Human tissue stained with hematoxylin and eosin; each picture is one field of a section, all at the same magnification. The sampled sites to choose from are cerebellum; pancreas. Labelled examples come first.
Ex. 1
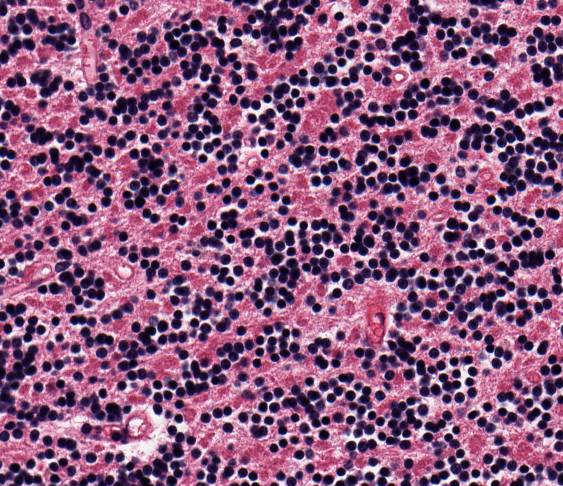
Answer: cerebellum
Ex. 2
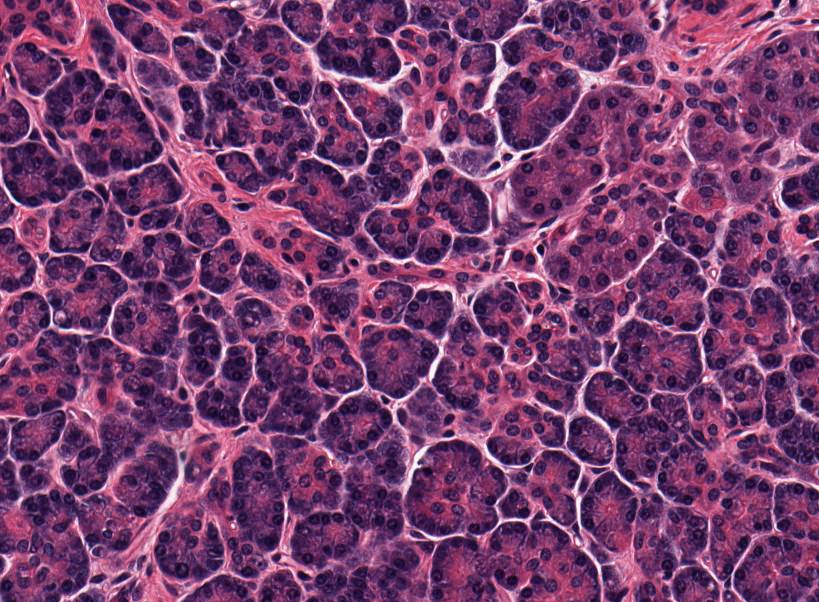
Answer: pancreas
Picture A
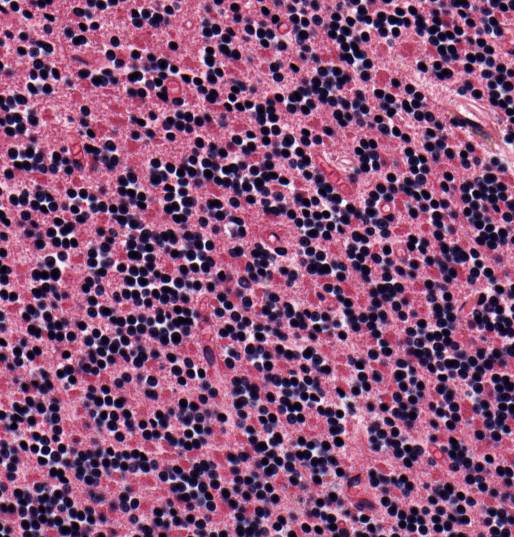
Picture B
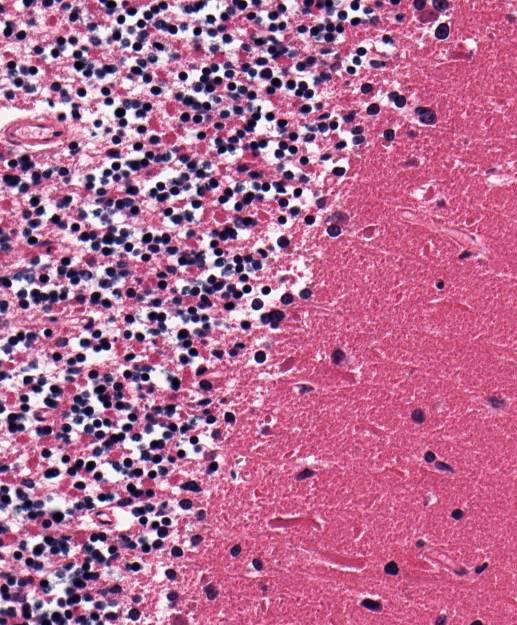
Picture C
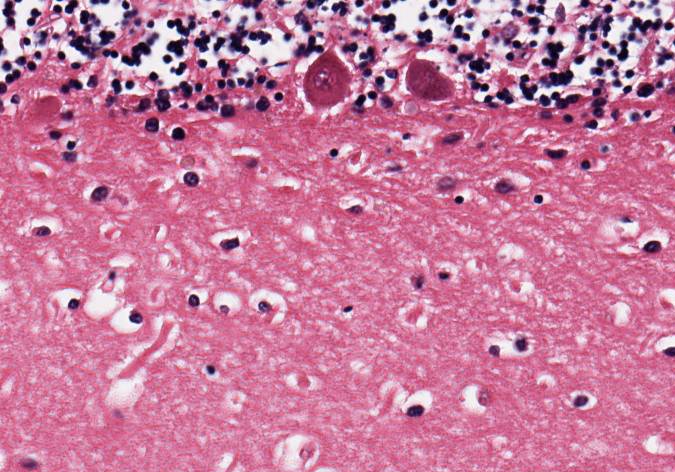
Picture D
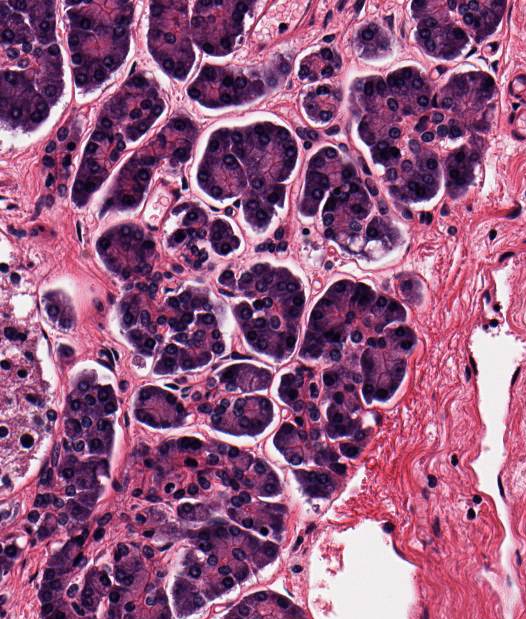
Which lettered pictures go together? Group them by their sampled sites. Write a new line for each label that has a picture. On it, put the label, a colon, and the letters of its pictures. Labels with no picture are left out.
cerebellum: A, B, C
pancreas: D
